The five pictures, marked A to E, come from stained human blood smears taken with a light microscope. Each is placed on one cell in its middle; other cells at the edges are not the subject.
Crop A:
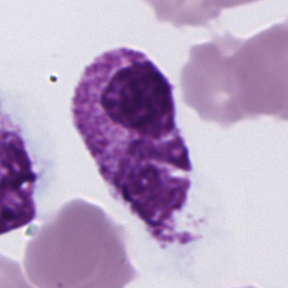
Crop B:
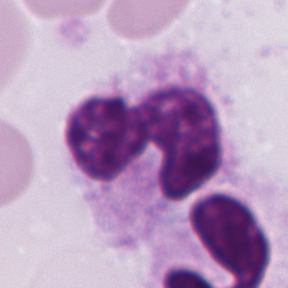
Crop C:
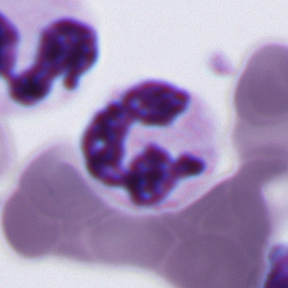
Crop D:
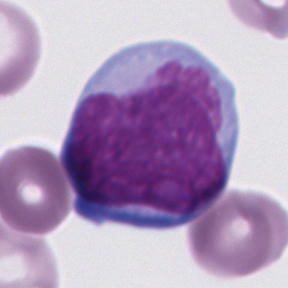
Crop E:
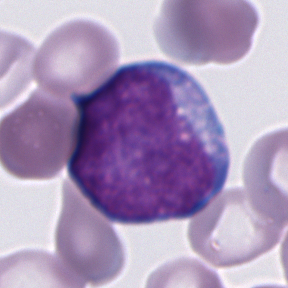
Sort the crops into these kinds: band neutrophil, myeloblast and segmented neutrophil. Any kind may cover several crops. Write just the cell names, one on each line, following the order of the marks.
segmented neutrophil
segmented neutrophil
segmented neutrophil
myeloblast
myeloblast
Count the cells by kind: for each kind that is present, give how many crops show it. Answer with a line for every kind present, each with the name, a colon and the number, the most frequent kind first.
segmented neutrophil: 3
myeloblast: 2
